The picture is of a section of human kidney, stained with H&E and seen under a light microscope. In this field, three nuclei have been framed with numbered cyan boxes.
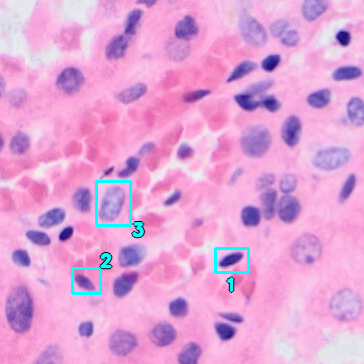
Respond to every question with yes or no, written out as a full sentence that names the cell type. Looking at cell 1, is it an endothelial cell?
Yes, the cell that goes by number 1 is an endothelial cell.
